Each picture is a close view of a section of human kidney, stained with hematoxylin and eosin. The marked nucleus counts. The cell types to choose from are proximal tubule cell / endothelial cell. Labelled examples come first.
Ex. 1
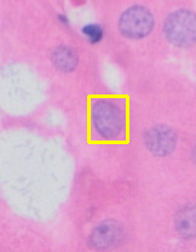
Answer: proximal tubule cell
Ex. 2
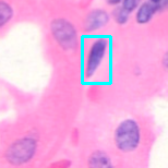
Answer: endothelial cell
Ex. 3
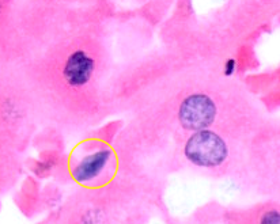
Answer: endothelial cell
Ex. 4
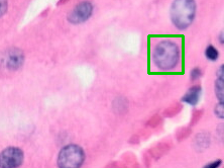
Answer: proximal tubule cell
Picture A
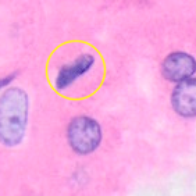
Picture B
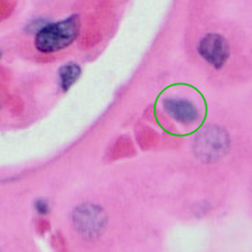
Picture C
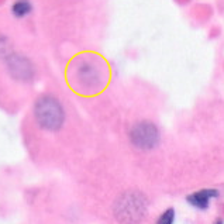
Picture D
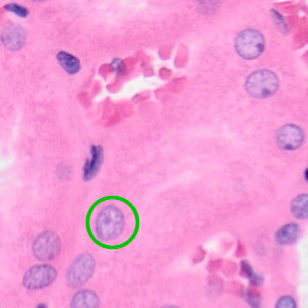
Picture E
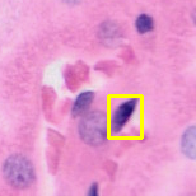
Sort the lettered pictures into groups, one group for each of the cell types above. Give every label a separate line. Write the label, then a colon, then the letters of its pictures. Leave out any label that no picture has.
proximal tubule cell: C, D
endothelial cell: A, B, E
